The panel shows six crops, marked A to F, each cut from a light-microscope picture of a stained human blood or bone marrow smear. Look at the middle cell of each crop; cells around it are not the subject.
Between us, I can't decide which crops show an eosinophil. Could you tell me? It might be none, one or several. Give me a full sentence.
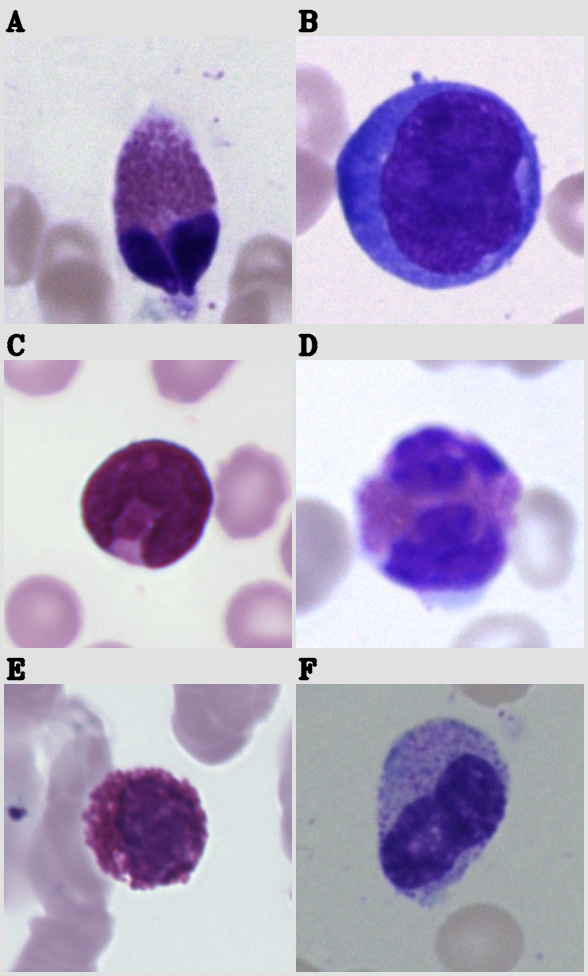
The cells in the middle of crops A, D and E count as eosinophils.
